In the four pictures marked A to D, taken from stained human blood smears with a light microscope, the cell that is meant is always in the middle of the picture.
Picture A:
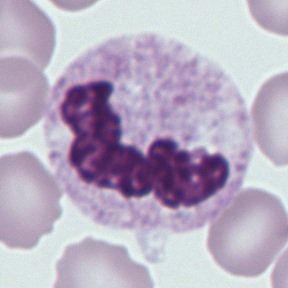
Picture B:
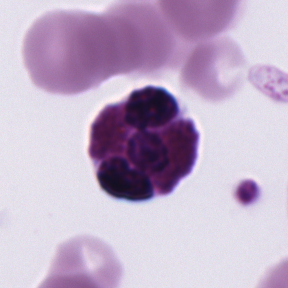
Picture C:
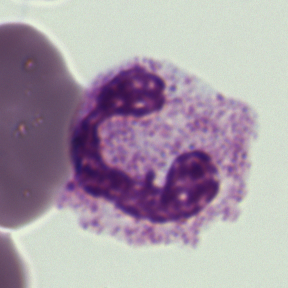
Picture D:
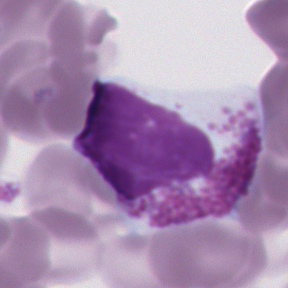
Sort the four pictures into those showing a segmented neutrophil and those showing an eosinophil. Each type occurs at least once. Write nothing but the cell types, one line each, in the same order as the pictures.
segmented neutrophil
eosinophil
segmented neutrophil
eosinophil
